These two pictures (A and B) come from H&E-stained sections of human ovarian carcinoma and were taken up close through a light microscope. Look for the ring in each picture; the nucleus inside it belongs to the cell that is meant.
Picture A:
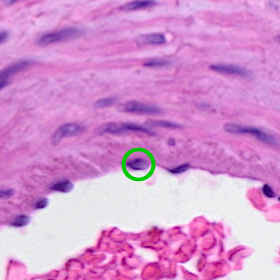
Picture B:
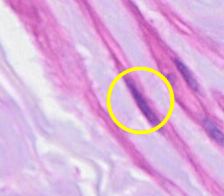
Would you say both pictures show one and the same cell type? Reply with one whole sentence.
No, they differ: the cell is an endothelial cell in picture A and a smooth muscle cell in picture B.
